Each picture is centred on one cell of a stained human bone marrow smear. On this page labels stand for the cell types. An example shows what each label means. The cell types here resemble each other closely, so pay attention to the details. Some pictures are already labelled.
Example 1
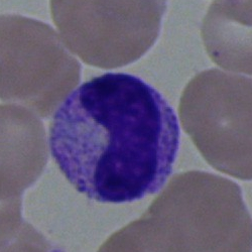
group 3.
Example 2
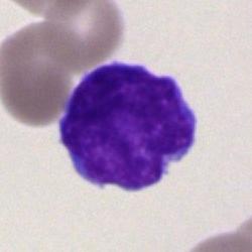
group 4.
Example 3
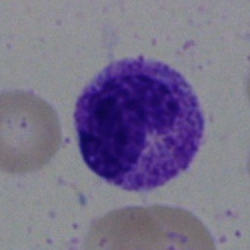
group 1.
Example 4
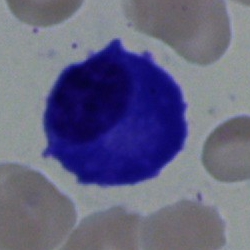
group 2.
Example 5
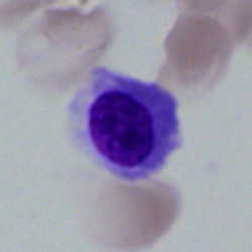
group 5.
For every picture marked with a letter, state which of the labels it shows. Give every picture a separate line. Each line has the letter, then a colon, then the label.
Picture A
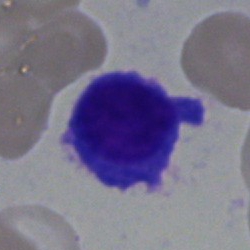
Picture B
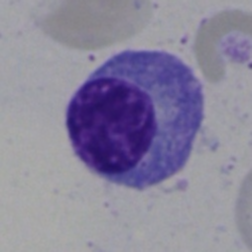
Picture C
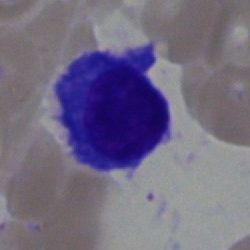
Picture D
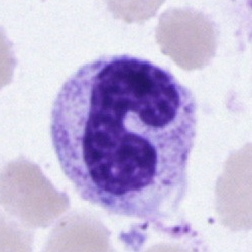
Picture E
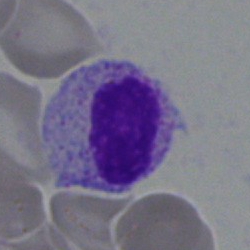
A: group 2.
B: group 2.
C: group 2.
D: group 3.
E: group 1.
